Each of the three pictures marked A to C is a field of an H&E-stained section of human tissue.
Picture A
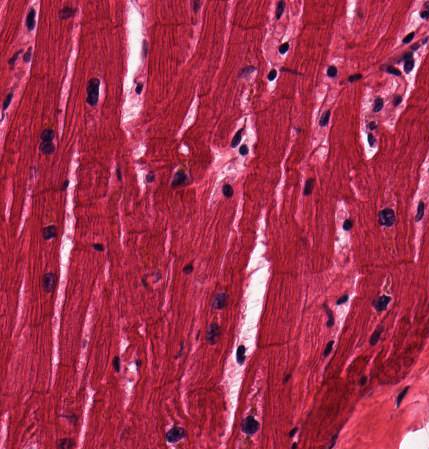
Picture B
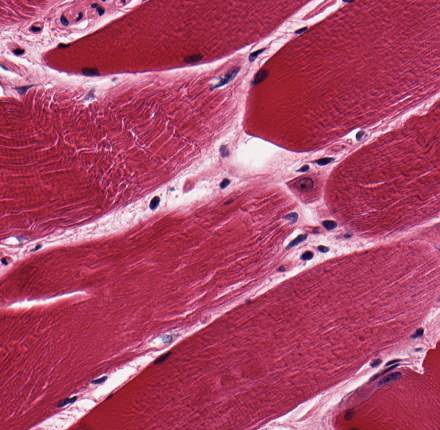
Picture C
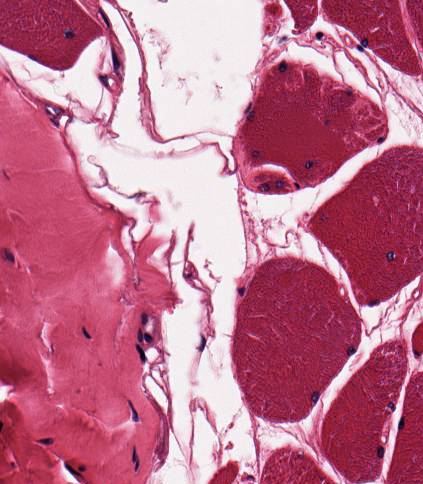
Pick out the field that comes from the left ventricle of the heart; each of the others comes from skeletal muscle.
A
